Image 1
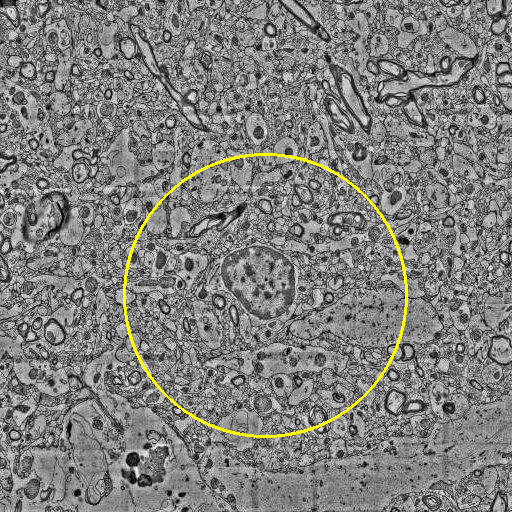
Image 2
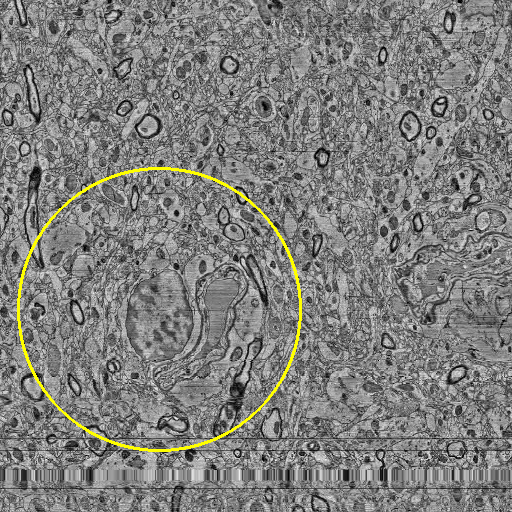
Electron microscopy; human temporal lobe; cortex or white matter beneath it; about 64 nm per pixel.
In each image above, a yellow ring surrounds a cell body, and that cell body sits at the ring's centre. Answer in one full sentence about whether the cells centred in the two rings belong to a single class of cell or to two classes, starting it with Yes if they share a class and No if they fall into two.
Yes, the cells centred in the two yellow rings belong to a single class of cell.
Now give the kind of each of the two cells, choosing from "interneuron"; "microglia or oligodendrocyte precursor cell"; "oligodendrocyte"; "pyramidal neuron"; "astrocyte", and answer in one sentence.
Each of the two cells is a microglial cell or oligodendrocyte precursor cell.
